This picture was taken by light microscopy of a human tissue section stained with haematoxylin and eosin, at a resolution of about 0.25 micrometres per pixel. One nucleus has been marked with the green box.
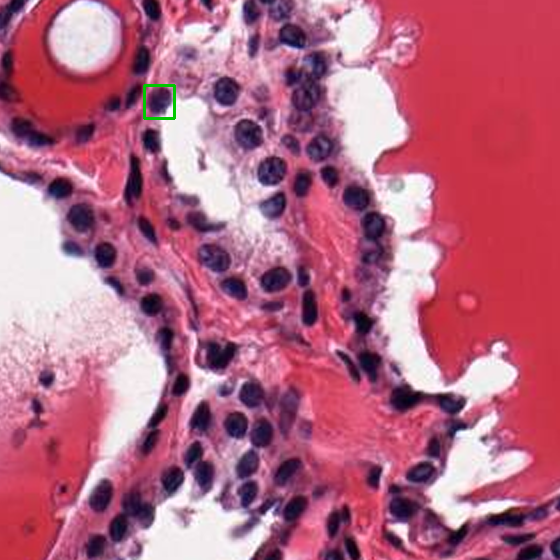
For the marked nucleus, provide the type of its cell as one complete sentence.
The owner of the marked nucleus is a thyroid follicular cell.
